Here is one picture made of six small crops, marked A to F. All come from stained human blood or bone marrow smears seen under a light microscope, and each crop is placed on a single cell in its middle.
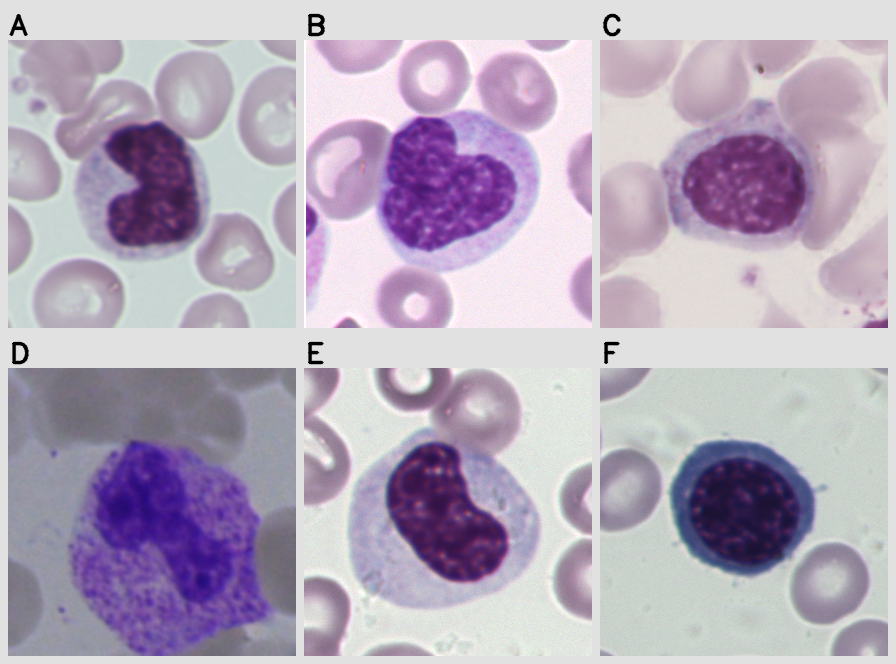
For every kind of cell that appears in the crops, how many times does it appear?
band neutrophil: 4
metamyelocyte: 1
normoblast: 1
